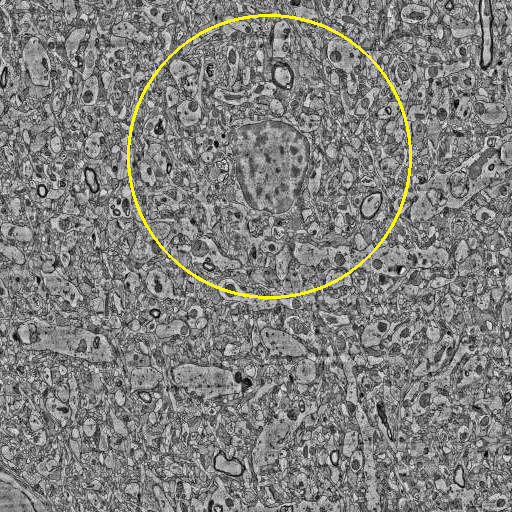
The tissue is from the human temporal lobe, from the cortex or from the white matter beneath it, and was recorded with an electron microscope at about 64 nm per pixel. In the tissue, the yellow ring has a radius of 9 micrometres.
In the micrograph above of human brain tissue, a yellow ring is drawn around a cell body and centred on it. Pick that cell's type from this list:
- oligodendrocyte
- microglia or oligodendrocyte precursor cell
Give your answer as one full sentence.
Going by the list, a microglial cell or oligodendrocyte precursor cell is the cell on which the yellow ring is centred.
